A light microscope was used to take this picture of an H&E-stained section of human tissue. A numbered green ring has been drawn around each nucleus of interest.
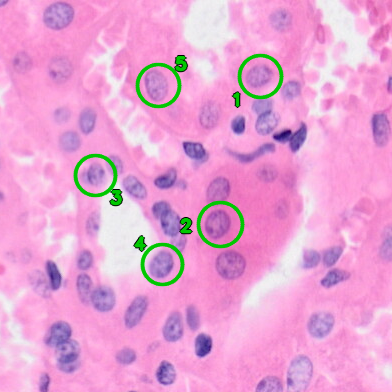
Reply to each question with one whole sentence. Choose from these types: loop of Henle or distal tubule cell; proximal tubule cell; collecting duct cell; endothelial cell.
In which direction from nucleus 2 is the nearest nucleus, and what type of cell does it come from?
The closest nucleus belongs to a proximal tubule cell and sits above nucleus 2.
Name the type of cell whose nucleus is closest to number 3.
Number 3 lies closest to the nucleus of a collecting duct cell.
